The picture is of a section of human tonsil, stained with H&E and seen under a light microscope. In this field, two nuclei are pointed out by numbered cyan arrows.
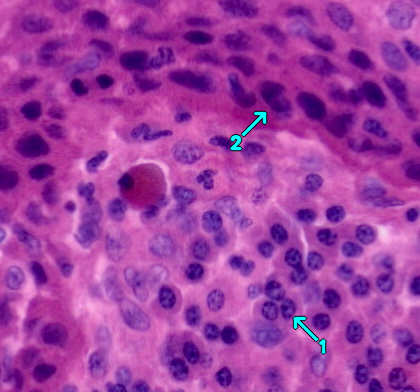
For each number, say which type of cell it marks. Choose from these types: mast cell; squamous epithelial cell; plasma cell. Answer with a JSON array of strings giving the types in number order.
["plasma cell", "squamous epithelial cell"]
